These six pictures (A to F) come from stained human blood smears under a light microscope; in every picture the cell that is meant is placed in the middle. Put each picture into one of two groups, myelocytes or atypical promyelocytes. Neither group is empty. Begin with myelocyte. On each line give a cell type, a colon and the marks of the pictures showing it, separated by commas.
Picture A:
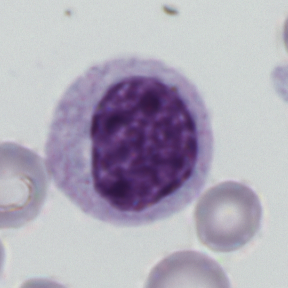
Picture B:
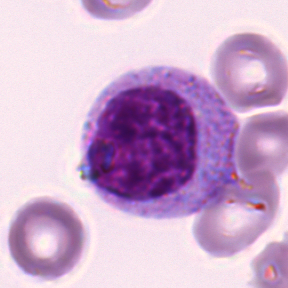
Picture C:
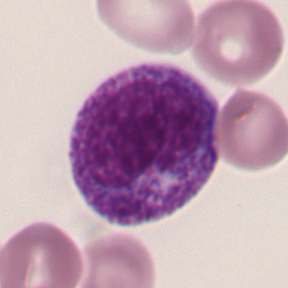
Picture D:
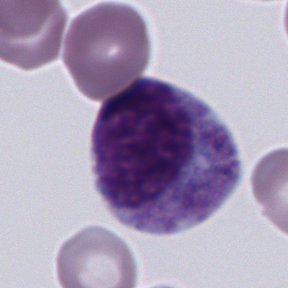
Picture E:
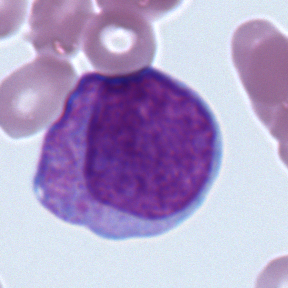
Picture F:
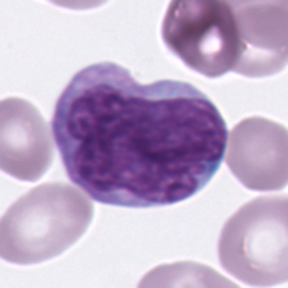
myelocyte: A, B, C, D
atypical promyelocyte: E, F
